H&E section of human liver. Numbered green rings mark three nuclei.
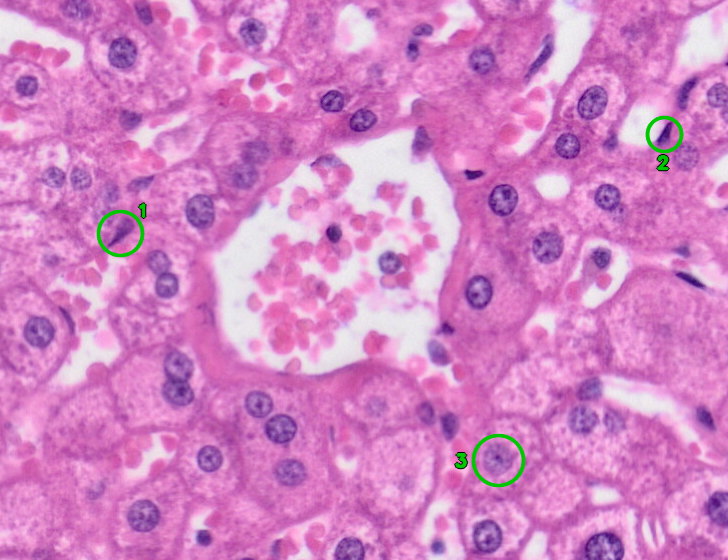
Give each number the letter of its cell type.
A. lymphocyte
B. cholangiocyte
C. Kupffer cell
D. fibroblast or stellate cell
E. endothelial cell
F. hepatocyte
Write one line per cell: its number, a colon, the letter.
1: D
2: D
3: F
